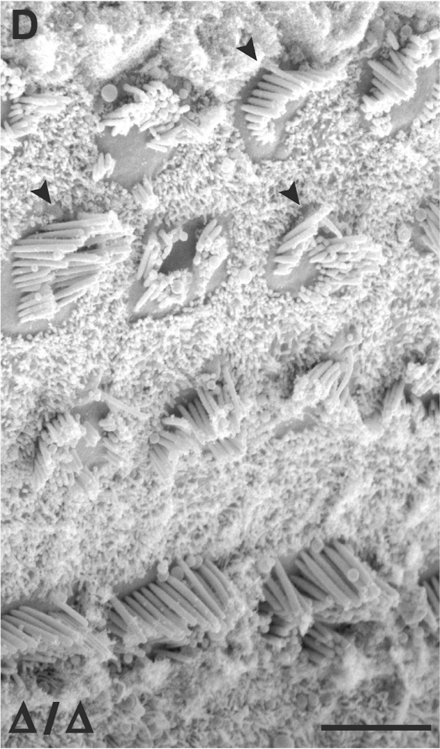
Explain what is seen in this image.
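Scanning electron view of the cochlear sensory epithelium showing outer hair cells in the upper part and a row of inner hair cells along the bottom. The outer hair cell bundles are badly disorganized: instead of neat crescents, their stereocilia are splayed, clumped, flattened or distorted, and the bundles point in differing directions. Some bundles look fragmented into separate groups of stereocilia. The inner hair cell bundles at the bottom are formed of thicker, taller stereocilia in a continuous row. Between the hair cells, the surfaces of supporting cells are densely covered with short microvilli.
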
